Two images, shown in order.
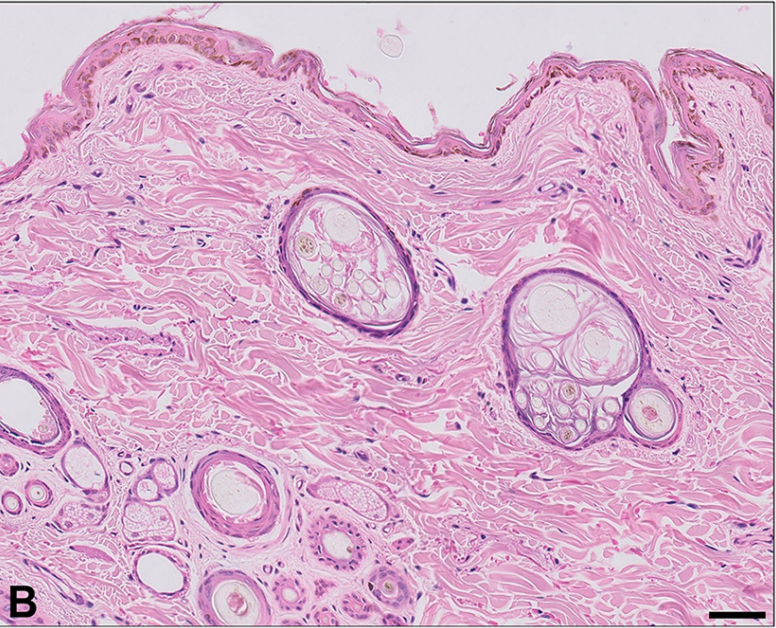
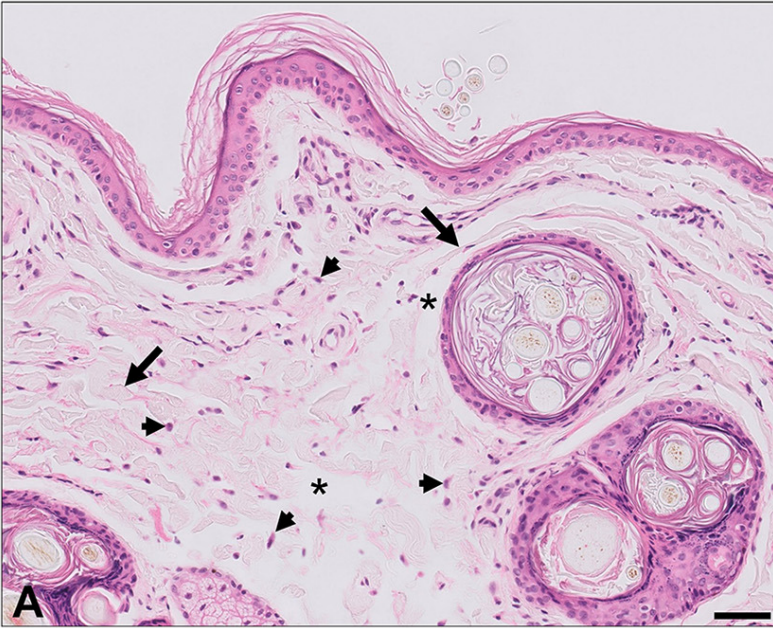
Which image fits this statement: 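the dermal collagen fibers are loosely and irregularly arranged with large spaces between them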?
the second image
